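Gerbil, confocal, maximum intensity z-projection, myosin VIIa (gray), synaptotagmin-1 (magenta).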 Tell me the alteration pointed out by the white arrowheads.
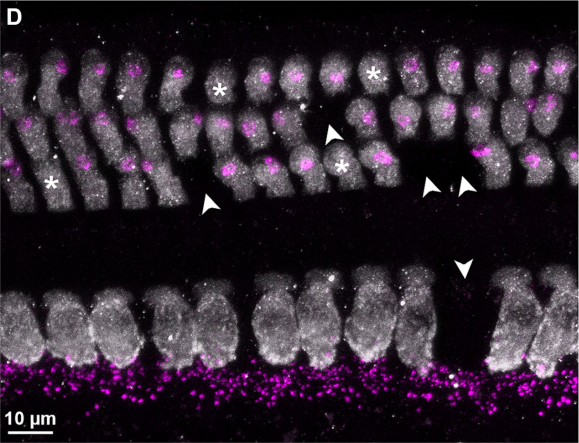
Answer: Hair cells were missing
